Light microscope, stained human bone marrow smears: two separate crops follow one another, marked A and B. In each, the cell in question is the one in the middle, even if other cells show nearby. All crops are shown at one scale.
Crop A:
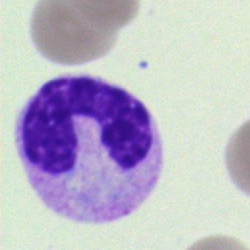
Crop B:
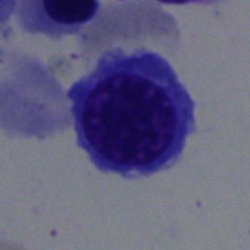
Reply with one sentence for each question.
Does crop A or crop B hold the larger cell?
It is the cell in crop A, about 1.5 times as large in area as the cell in crop B.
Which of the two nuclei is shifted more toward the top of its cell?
It is the nucleus in crop A that lies further toward the top of its cell.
